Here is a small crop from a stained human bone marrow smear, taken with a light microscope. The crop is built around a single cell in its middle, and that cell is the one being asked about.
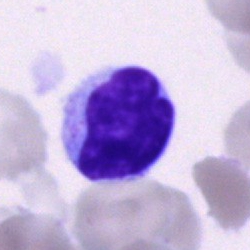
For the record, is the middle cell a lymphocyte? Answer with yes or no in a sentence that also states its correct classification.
Yes, the centered cell in this field is a lymphocyte.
